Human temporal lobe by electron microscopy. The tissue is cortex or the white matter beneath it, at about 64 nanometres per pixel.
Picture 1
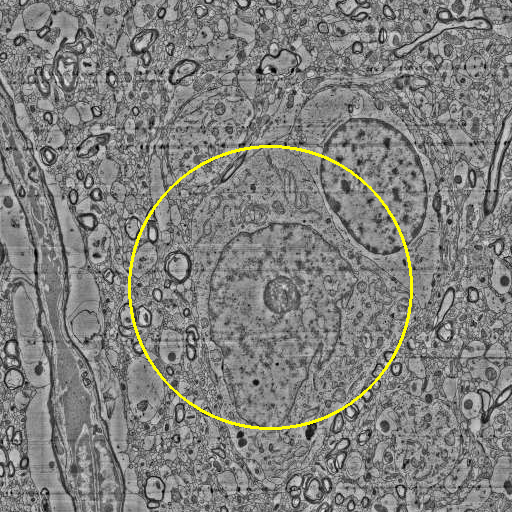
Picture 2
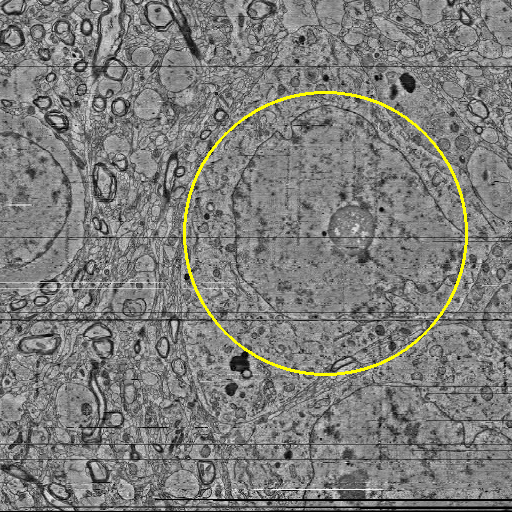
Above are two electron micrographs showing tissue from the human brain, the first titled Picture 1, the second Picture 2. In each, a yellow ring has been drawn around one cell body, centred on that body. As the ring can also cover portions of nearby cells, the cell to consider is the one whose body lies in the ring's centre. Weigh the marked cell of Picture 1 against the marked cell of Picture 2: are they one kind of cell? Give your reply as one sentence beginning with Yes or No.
No, the two cells sitting at the ring centres in the pictures are of two kinds.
